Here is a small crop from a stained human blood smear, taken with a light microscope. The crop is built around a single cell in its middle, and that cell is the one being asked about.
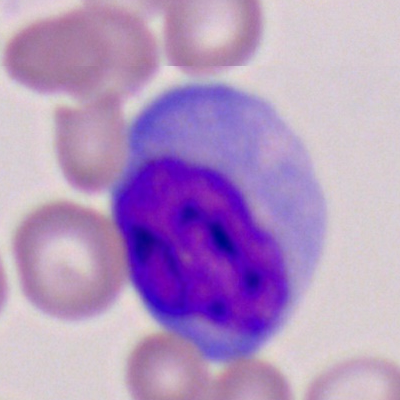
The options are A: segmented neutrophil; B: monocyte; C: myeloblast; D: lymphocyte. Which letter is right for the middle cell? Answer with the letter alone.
B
